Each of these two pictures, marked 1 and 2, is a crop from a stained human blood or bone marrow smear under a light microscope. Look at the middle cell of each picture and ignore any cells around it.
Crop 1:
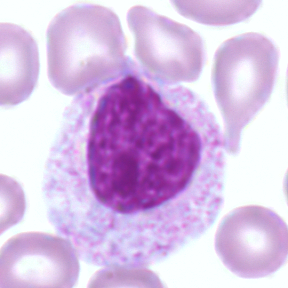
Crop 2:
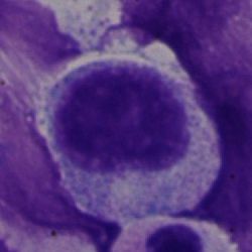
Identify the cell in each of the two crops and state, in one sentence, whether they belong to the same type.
Yes, myelocytes are depicted in both crops.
